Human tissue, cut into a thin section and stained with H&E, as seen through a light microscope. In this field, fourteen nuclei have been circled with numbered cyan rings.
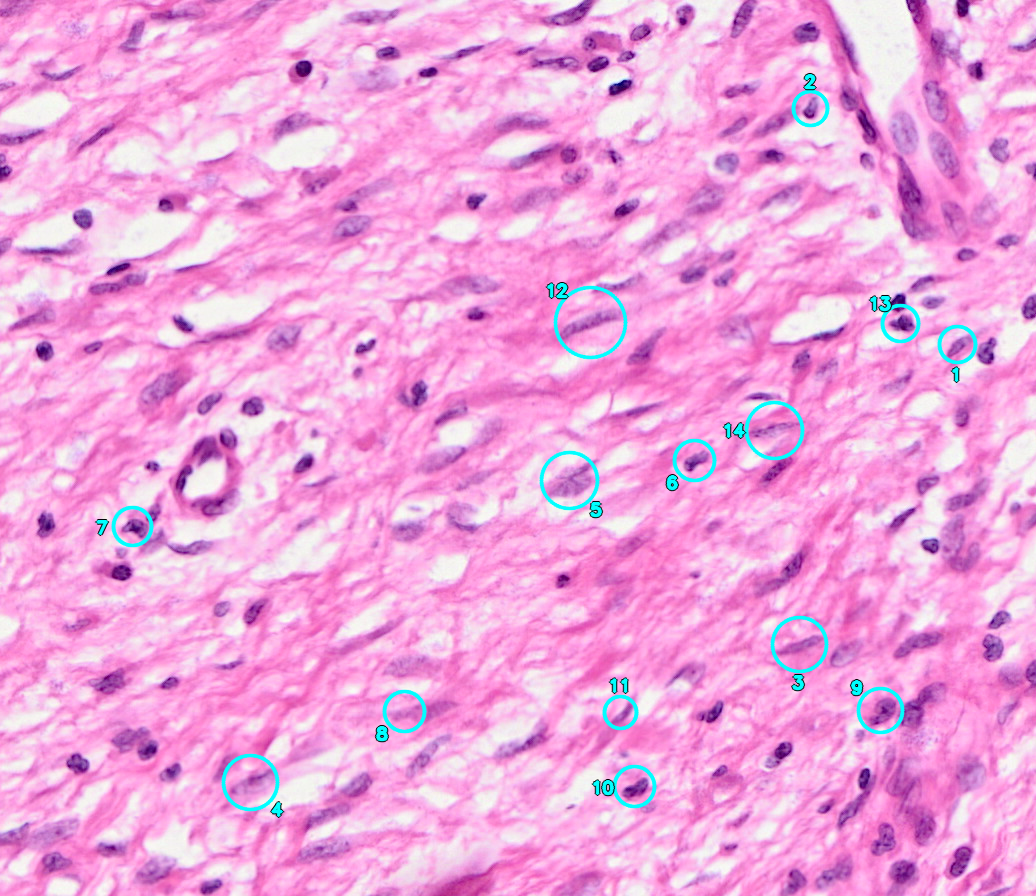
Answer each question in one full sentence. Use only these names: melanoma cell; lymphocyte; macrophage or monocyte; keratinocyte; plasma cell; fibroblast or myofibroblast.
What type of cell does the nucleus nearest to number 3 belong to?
The nucleus nearest to number 3 is that of a fibroblast or myofibroblast.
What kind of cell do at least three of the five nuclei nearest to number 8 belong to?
Fibroblasts or myofibroblasts account for more than half of the five nuclei nearest to number 8.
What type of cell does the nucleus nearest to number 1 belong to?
The nucleus nearest to number 1 is that of a lymphocyte.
